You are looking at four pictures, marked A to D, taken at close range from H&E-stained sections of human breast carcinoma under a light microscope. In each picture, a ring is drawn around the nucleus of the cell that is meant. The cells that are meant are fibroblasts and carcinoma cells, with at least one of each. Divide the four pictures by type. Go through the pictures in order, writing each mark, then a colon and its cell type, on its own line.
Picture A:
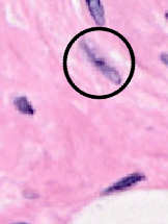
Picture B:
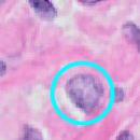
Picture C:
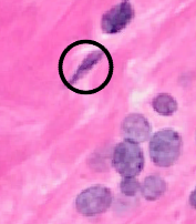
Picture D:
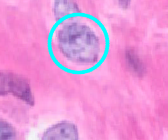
A: fibroblast
B: carcinoma cell
C: fibroblast
D: carcinoma cell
